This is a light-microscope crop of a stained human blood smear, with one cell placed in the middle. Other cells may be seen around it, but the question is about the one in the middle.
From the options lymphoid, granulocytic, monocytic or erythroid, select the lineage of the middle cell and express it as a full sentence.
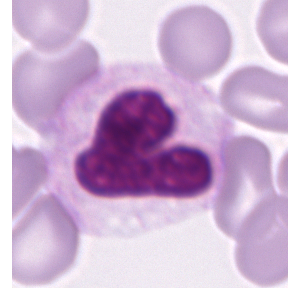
The middle cell of the crop arises from the granulocytic lineage.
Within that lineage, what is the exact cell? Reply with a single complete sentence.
The cell at the heart of this crop is a segmented neutrophil.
